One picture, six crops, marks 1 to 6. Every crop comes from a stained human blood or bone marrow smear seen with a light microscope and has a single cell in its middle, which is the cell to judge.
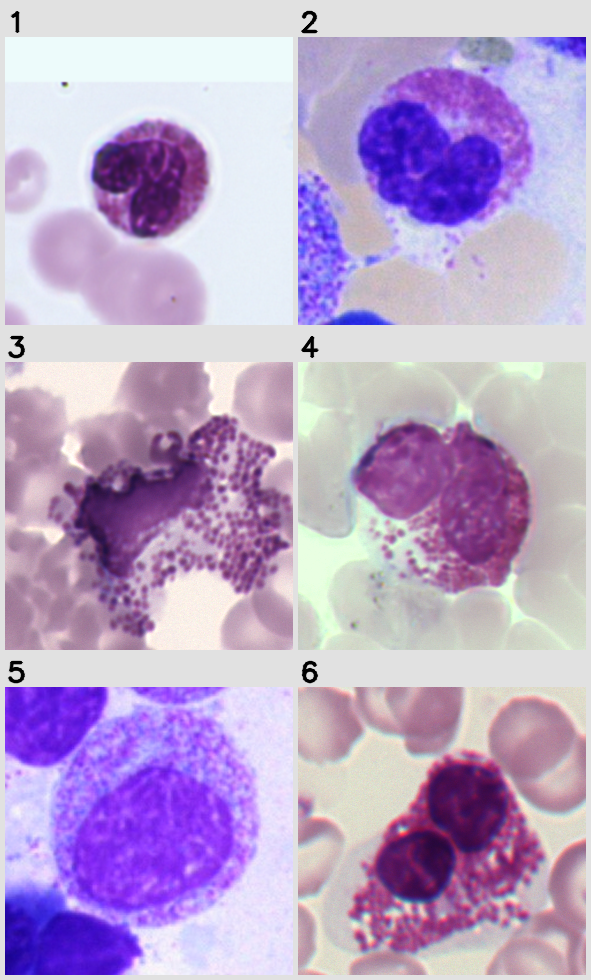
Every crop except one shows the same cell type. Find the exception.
5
